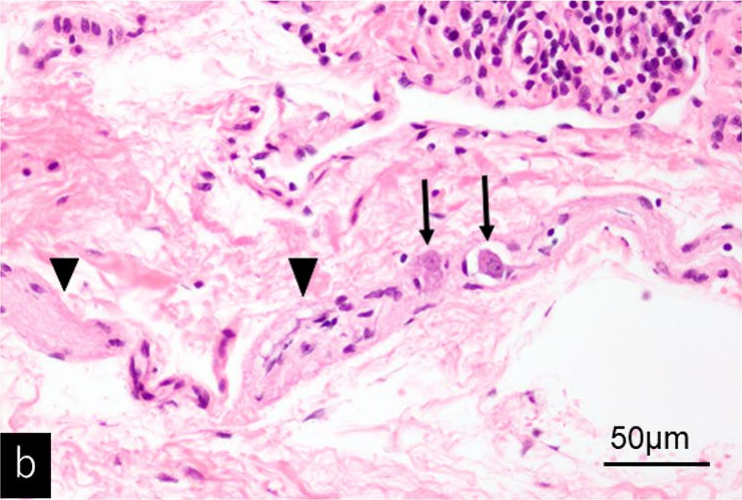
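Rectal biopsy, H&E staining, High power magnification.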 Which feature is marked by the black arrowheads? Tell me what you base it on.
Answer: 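The arrowheads point to pale pink, finely fibrillar bands. The bands contain slender, wavy, elongated nuclei. That points to this answer: nerve bundles.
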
